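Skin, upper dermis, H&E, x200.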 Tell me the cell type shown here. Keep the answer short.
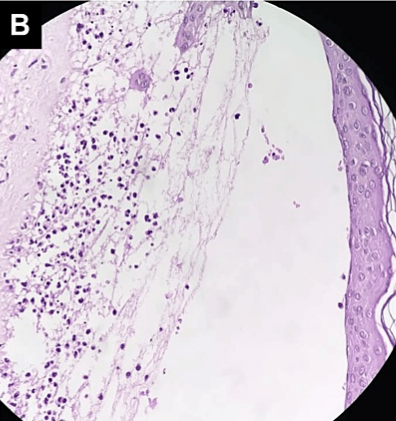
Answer: neutrophils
